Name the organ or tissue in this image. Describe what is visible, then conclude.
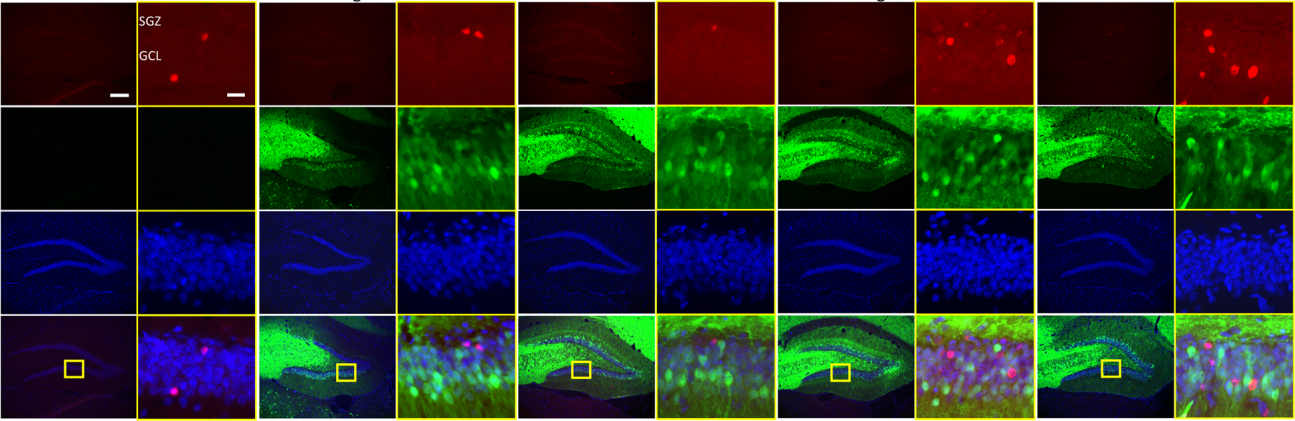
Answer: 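Dentate gyrus. Low-magnification views show a curved, V-shaped band of densely packed blue nuclei. Enlarged views show a compact layer of tightly packed small round nuclei.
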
